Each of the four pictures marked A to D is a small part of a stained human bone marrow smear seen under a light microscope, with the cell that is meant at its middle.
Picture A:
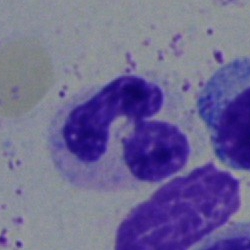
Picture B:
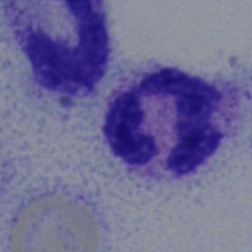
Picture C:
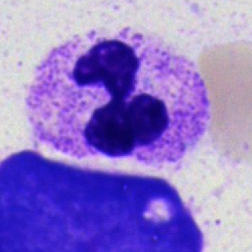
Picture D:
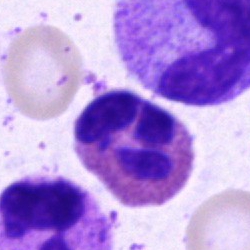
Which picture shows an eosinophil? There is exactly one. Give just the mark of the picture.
D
